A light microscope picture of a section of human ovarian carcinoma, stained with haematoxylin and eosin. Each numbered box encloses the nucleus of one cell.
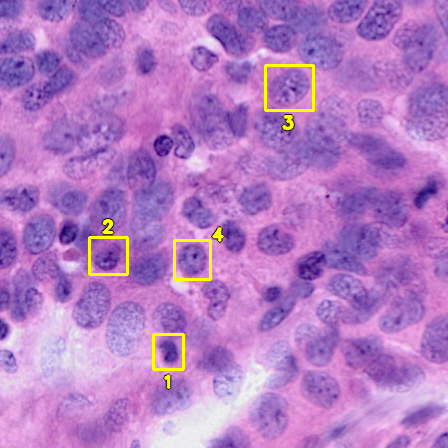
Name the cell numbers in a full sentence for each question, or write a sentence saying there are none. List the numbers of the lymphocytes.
There is just one numbered cell that is a lymphocyte, and it is cell 1.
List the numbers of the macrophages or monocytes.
Within the section, cells numbered 2 and 4 are macrophages or monocytes.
